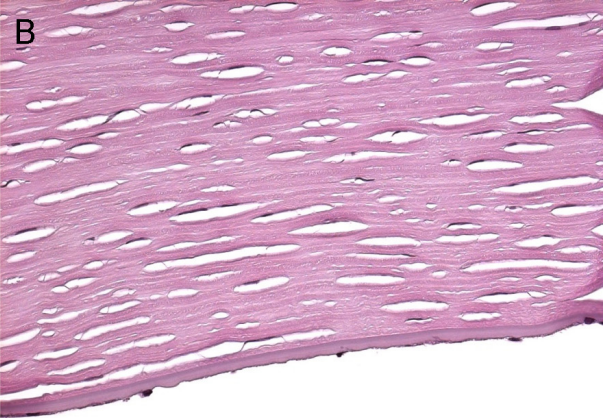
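Corneal stroma made of pink parallel collagen lamellae separated by many elongated clear spaces. Along the bottom surface runs a smooth thin membrane-like band. The cell lining on that surface is very thin, with only occasional flattened dark nuclei.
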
